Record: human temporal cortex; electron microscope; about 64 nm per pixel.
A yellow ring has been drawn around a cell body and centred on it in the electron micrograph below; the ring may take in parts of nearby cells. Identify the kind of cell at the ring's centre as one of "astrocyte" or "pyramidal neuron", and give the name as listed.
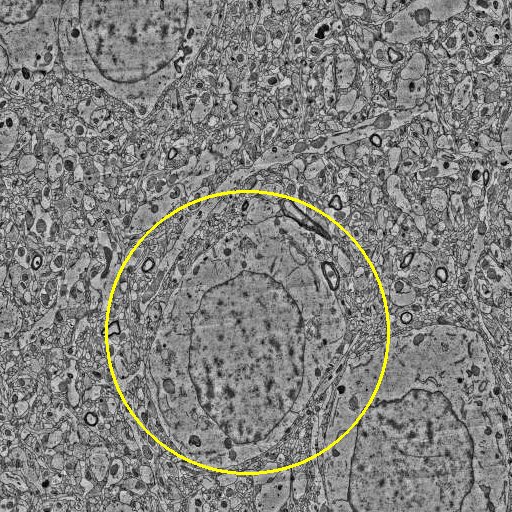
pyramidal neuron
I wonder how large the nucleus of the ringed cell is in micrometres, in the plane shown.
Roughly 11 by 8 micrometres is the size of the nucleus in this plane.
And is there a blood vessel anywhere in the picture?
No, there is none.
